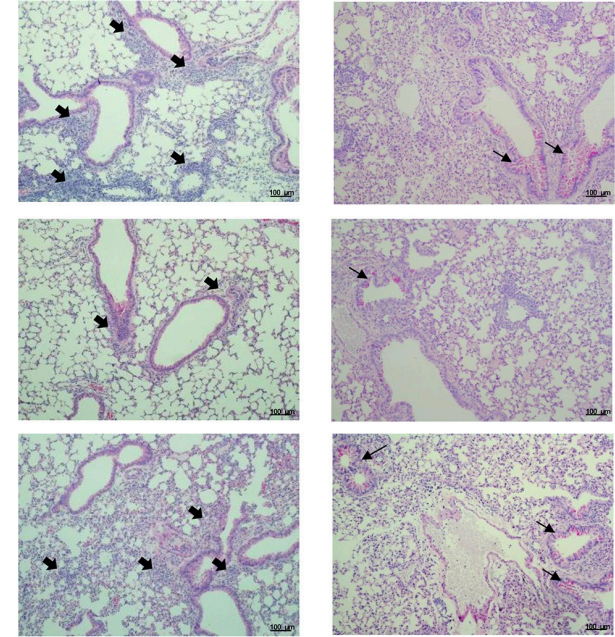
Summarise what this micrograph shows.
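Sections of lung show bronchioles and vessels set within thin-walled alveolar tissue, stained pink and purple in the left column and pale pink with blue-purple nuclei in the right column. In the left column, dense collections of small dark-nucleated inflammatory cells cuff the airways and vessels. In the right column, magenta-stained mucus is seen within the epithelium lining some airways.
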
